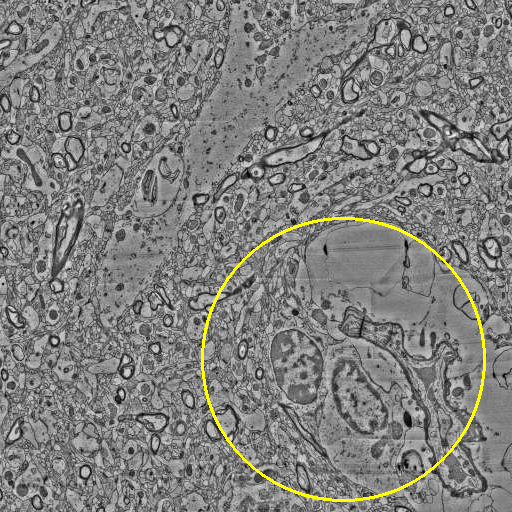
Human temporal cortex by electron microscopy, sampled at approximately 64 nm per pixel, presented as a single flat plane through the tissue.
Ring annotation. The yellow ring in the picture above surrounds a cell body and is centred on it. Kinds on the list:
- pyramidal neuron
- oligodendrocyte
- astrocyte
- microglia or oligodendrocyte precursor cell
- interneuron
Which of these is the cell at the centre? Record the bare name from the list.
microglia or oligodendrocyte precursor cell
